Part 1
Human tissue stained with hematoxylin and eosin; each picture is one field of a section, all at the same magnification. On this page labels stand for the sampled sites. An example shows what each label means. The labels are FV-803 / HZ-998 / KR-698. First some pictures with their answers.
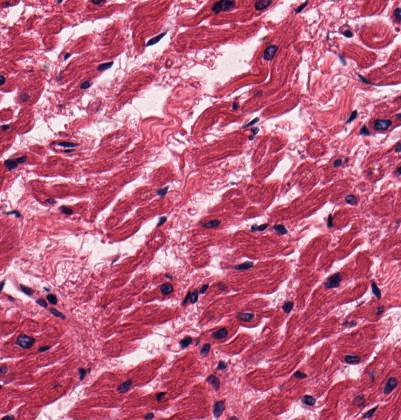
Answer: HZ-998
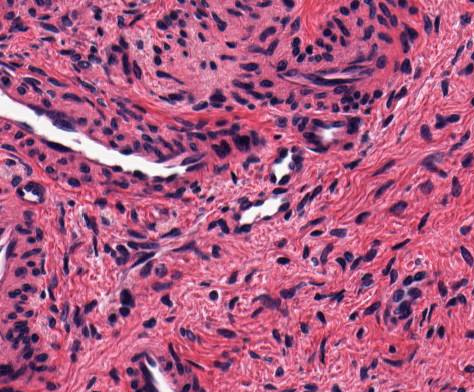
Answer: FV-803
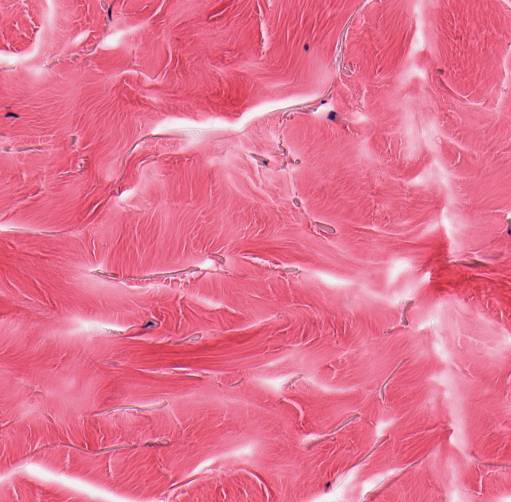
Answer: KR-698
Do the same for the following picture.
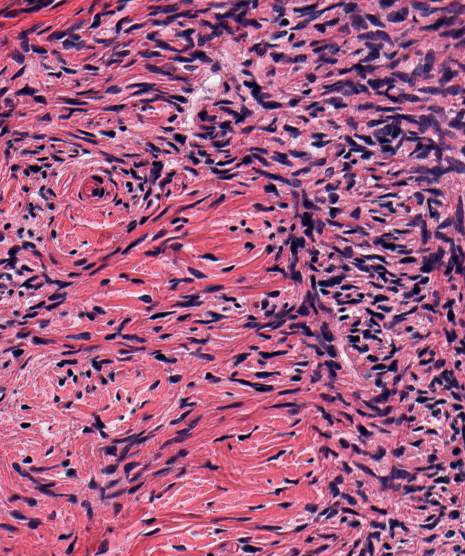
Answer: FV-803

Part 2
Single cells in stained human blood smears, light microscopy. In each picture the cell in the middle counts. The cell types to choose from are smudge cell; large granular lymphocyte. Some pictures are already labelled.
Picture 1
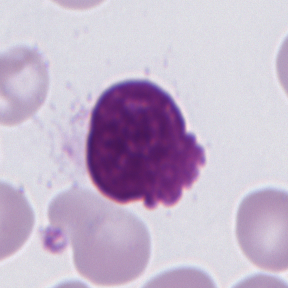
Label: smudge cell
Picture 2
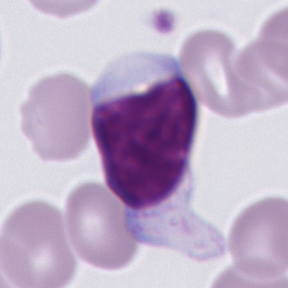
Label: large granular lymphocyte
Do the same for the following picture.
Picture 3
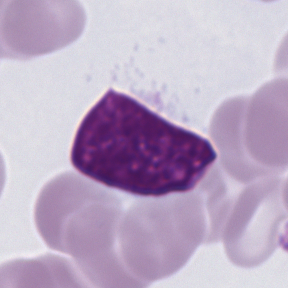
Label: smudge cell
